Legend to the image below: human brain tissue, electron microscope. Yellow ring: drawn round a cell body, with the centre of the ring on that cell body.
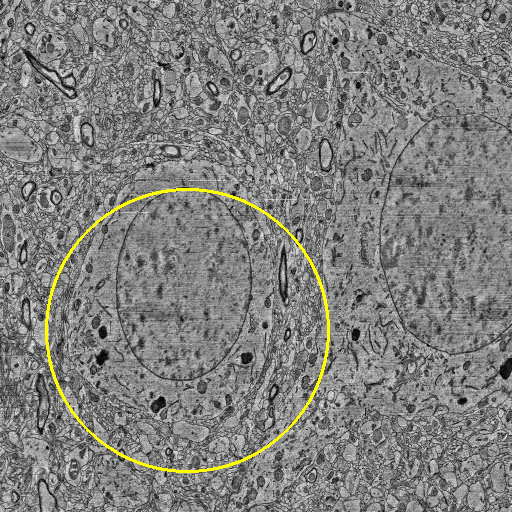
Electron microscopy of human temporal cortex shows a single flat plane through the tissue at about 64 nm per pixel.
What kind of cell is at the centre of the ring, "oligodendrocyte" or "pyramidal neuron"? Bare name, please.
pyramidal neuron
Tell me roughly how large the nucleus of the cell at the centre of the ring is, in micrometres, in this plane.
The nucleus works out at approximately 13 by 9 micrometres in this plane.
